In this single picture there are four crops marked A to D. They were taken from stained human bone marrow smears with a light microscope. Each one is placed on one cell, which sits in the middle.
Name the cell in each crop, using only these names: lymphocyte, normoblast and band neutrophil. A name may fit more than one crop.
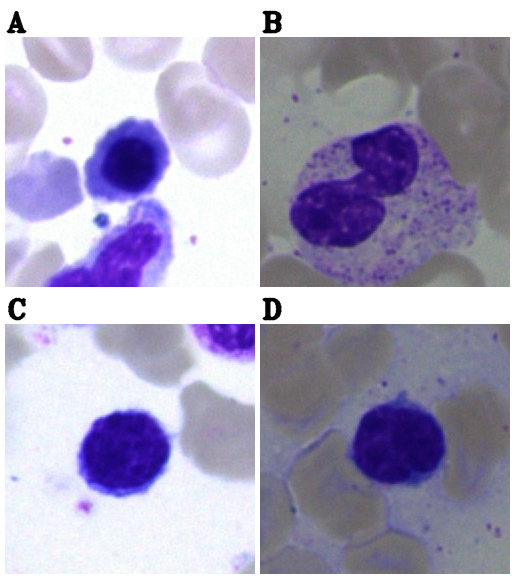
A: normoblast
B: band neutrophil
C: lymphocyte
D: lymphocyte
